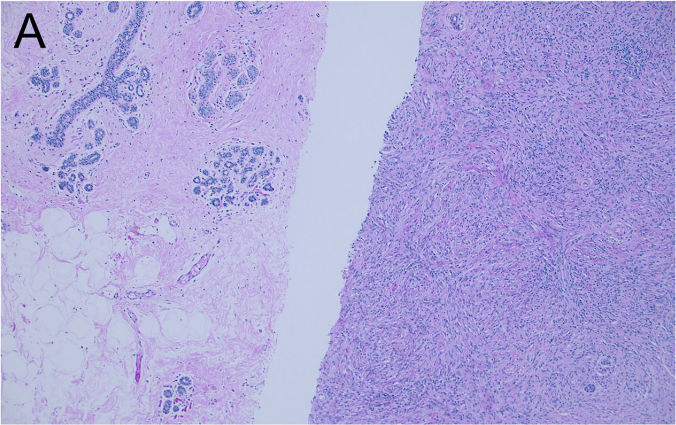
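On the left lies loose pink stroma containing branching ducts, small lobules of glands and a patch of fat cells. The left is normal breast tissue, and the right is a proliferation of packed cells with eosinophilic cytoplasm.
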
